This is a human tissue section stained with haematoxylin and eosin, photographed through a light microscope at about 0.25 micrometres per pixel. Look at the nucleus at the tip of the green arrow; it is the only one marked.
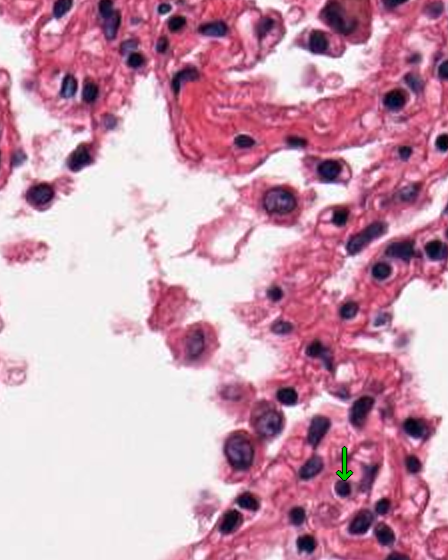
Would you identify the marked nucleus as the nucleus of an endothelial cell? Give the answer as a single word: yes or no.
no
